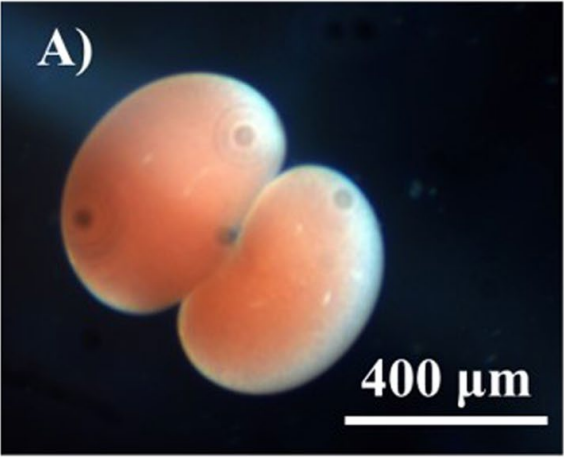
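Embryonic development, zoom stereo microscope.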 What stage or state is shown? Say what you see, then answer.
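The embryo is split into two rounded blastomeres of similar size. The two blastomeres press against each other along a central furrow. That points to this answer: 2 cleavage.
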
